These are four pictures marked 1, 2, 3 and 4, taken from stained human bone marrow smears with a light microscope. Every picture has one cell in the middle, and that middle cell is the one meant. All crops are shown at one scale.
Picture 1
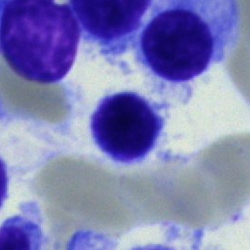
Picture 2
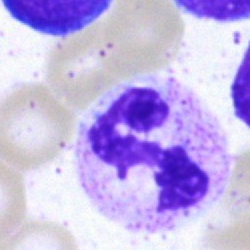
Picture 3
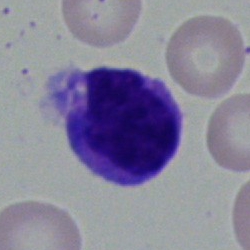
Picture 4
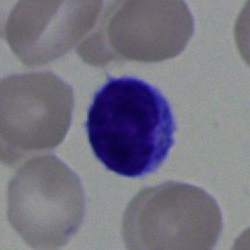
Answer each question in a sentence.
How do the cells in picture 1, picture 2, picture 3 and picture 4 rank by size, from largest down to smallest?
From the largest down, the order is 2, 3, 4, 1.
